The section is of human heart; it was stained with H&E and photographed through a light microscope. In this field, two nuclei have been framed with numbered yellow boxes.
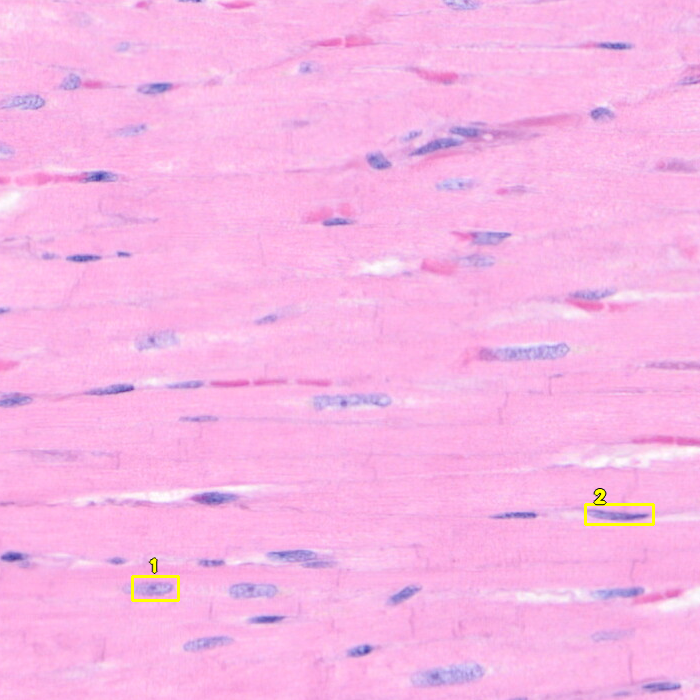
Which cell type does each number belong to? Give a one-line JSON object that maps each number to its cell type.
{"1": "cardiomyocyte", "2": "endothelial cell"}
